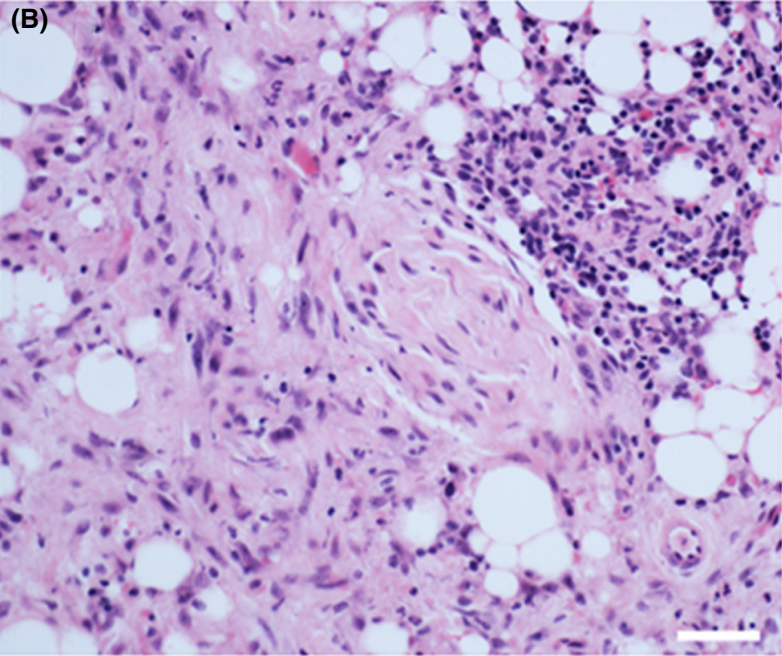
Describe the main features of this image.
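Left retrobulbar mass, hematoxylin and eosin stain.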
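This field shows a spindle cell proliferation: elongated cells with slender, dark oval-to-spindle nuclei lie in loose fascicles within pink fibrillar stroma. To the upper right, a dense cluster of small round dark nuclei of inflammatory cells infiltrates between the clear, empty vacuoles of fat cells. Fat vacuoles are also scattered within the spindle cell area.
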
